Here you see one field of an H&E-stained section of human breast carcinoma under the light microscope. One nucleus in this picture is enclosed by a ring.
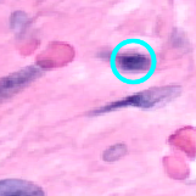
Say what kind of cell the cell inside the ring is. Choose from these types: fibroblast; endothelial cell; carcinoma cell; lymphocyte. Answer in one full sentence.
What the cell inside the ring represents is an endothelial cell.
